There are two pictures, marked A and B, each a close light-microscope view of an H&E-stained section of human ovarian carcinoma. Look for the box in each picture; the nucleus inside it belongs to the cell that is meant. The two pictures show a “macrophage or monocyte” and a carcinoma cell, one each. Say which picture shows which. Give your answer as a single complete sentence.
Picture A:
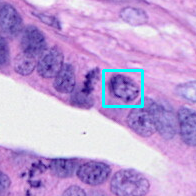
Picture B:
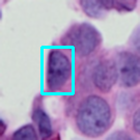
Picture A shows a “macrophage or monocyte” and picture B shows a carcinoma cell.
